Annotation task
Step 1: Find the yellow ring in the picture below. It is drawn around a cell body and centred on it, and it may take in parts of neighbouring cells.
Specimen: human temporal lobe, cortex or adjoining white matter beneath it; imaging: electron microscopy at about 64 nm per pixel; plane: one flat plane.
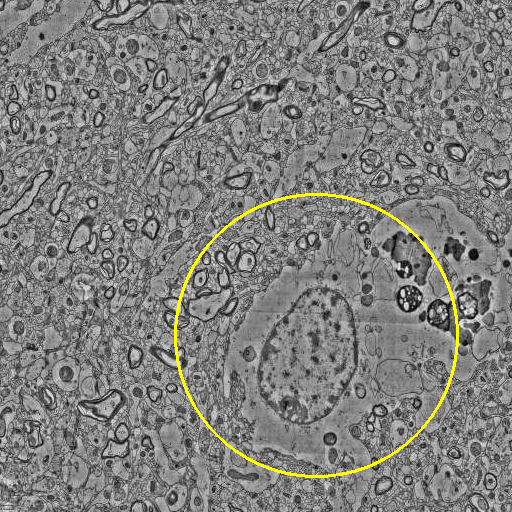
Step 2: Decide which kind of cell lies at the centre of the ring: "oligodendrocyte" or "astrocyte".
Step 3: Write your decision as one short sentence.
The kind of cell at the ring's centre is an astrocyte.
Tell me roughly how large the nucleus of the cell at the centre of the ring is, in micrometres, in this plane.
Roughly 9 by 6 micrometers, clearly longer than it is wide in this plane.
